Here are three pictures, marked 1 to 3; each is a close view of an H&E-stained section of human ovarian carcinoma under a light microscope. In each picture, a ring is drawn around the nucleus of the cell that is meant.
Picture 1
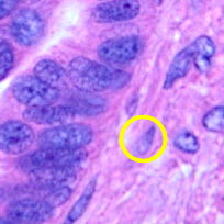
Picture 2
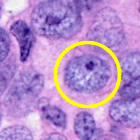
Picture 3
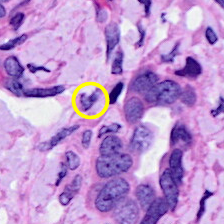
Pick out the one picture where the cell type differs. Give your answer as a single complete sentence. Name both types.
The different one is picture 2; it shows a carcinoma cell, whereas all the others show fibroblasts.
